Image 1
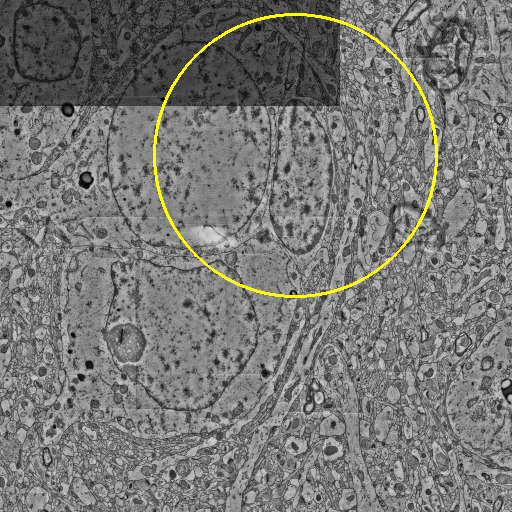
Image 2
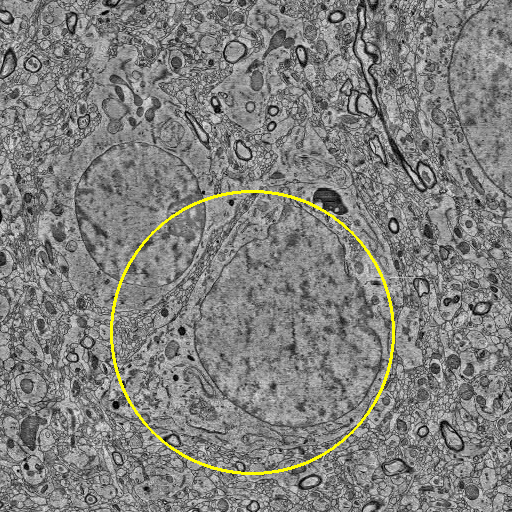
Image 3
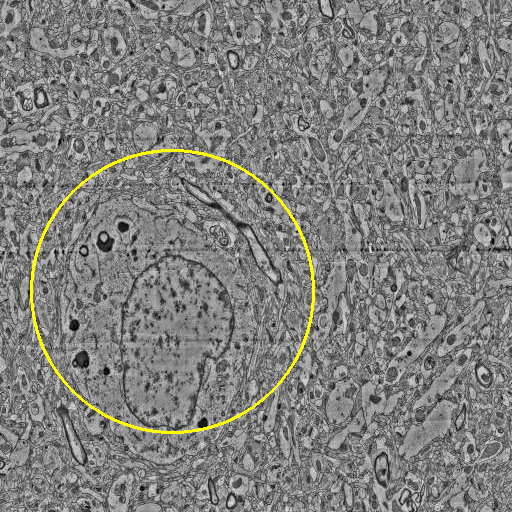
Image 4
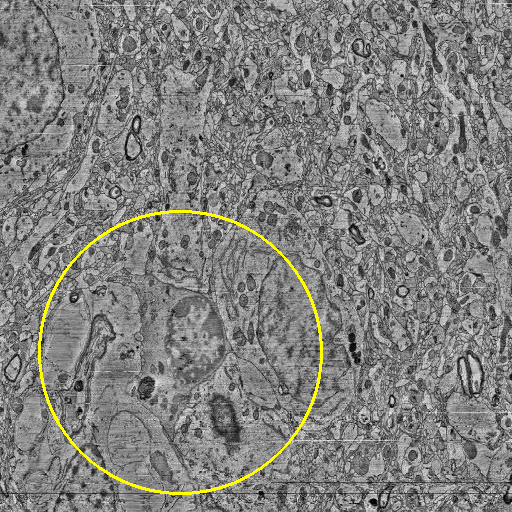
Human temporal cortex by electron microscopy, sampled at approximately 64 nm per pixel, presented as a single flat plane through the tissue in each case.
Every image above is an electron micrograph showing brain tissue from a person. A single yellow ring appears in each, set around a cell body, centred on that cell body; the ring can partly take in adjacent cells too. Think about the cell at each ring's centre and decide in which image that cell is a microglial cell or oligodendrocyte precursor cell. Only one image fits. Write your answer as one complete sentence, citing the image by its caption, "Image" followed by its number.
Image 1 is the one whose ringed central cell fits the description.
